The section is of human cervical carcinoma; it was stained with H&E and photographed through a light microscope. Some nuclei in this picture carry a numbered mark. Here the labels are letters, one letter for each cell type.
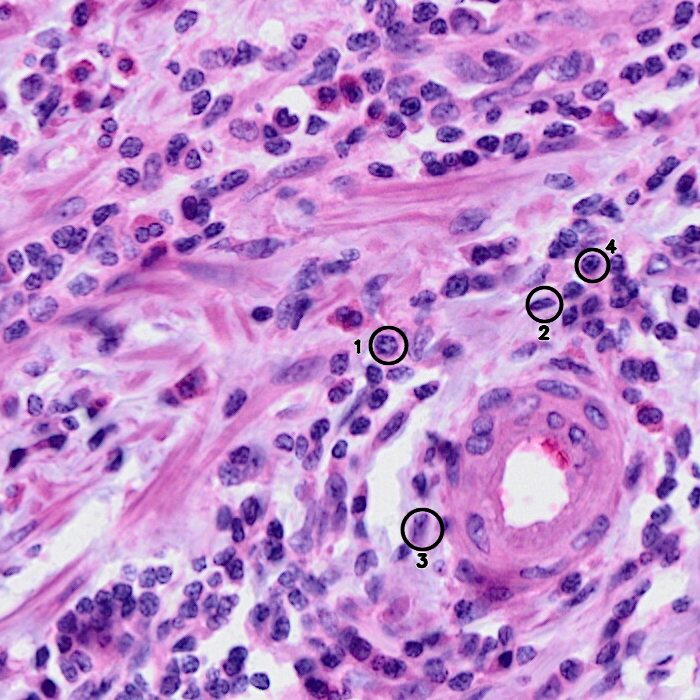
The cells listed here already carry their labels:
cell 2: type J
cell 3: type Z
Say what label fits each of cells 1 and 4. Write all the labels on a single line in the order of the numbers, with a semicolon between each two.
type J; type J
